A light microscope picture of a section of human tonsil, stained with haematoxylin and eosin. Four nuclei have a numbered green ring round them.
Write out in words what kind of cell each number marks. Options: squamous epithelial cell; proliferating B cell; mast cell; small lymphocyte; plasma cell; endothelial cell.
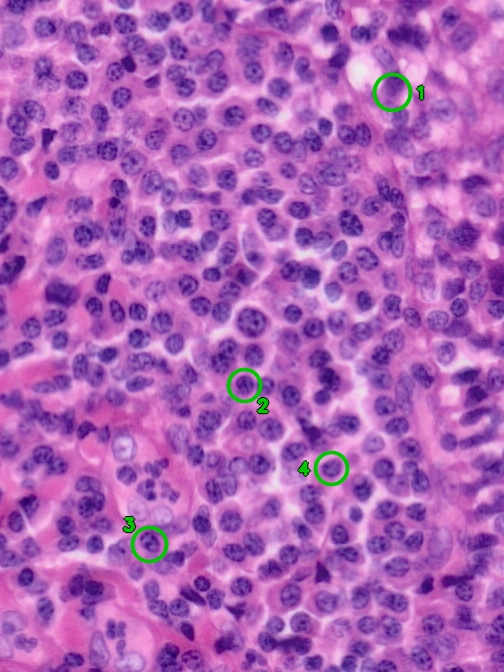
Cell 1 is a squamous epithelial cell, cell 2 is a plasma cell, cell 3 is a plasma cell and cell 4 is a plasma cell.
